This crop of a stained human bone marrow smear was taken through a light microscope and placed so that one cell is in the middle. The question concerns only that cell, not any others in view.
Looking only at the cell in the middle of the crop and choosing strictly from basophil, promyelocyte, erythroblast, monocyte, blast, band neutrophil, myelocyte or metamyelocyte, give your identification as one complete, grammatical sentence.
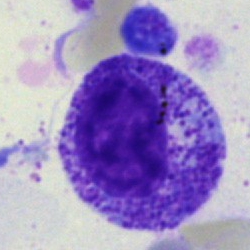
The crop's centre is taken up by a myelocyte.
